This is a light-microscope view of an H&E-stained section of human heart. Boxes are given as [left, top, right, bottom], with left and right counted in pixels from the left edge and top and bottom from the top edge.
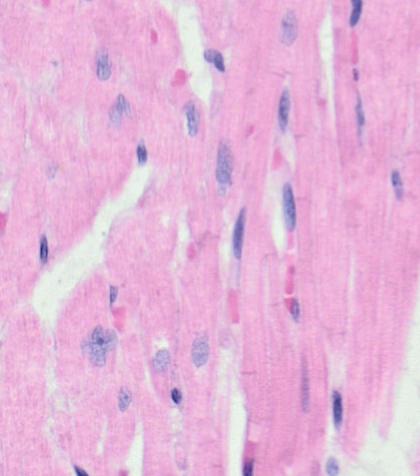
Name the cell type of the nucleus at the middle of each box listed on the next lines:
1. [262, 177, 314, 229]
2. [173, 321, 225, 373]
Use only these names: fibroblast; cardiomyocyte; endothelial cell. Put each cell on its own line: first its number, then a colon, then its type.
1: endothelial cell
2: cardiomyocyte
